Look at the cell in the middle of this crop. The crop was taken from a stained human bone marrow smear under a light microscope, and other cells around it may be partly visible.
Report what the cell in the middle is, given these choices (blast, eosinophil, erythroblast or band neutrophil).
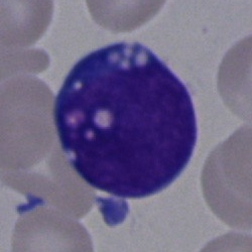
blast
